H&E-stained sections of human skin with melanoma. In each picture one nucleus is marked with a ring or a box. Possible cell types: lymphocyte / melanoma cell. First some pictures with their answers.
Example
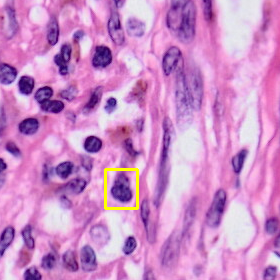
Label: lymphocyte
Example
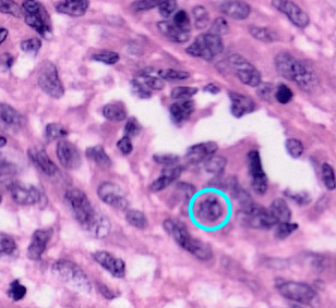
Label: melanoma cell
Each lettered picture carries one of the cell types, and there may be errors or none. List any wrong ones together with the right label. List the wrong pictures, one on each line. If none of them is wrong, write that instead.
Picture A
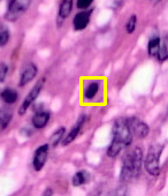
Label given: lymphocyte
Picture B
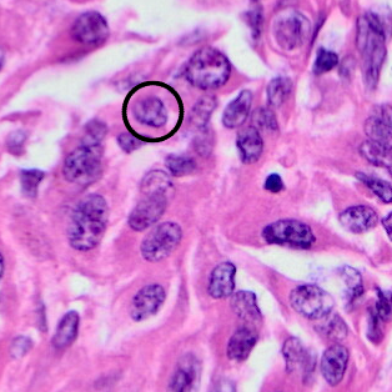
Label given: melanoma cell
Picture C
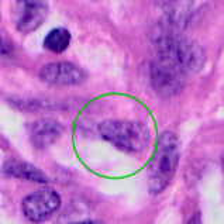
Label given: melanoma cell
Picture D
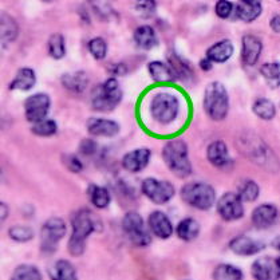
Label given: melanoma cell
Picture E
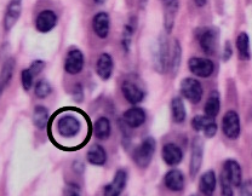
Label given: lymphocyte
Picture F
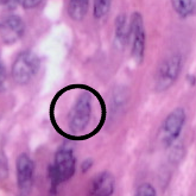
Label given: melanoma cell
D is labelled melanoma cell; correct label: lymphocyte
